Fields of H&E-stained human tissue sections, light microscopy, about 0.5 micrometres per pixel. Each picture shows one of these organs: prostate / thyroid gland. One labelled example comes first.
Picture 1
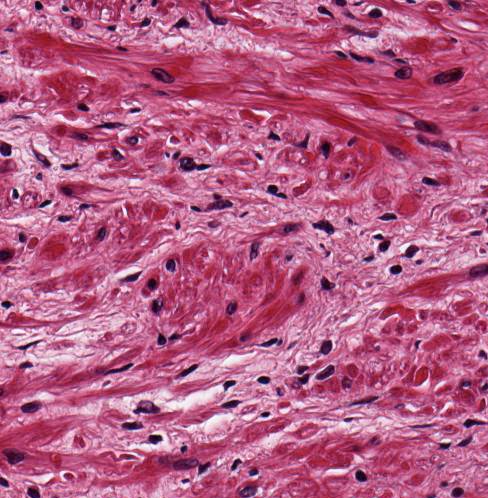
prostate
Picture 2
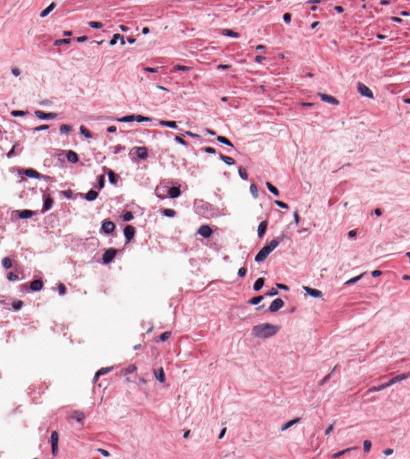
prostate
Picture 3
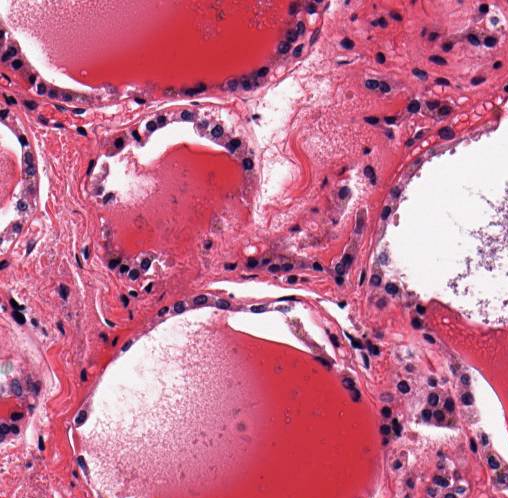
thyroid gland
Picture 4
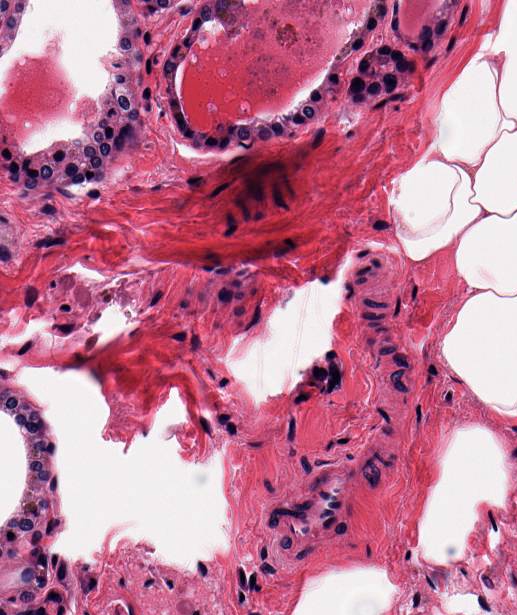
thyroid gland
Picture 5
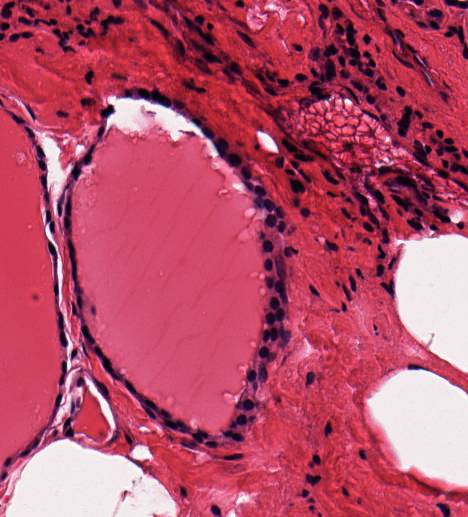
thyroid gland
